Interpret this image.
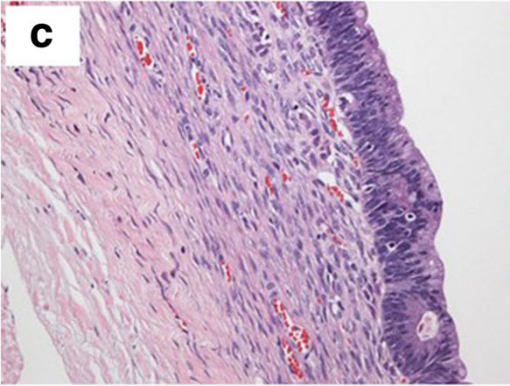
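This view shows the lining of a cystic space formed by intestinal-type epithelium with goblet cells. Scattered among them are cells holding round clear vacuoles, the goblet cells. Beneath the epithelium lies a band of spindle-shaped stromal cells with oval nuclei and small, red blood-filled vessels. Toward the left the stroma becomes paler, looser and more fibrous.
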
